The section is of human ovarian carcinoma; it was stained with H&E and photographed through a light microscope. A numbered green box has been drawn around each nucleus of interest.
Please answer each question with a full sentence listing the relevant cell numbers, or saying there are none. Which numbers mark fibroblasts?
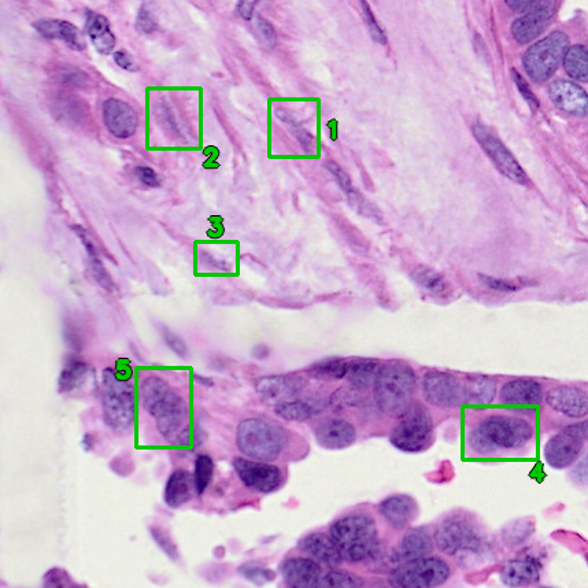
The cells tagged 1, 2 and 3 are fibroblasts in this tissue section.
